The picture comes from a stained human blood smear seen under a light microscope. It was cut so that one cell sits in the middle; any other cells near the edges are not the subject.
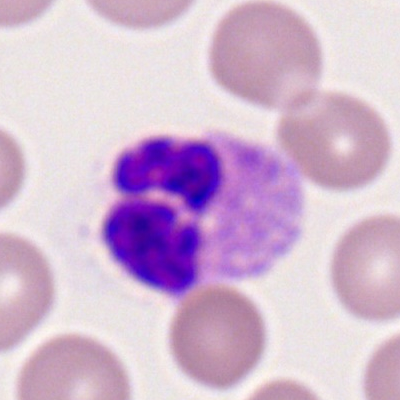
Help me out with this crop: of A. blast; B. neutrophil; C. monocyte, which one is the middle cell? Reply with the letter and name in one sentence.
The central cell in this crop is a neutrophil, so the correct choice is option B.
